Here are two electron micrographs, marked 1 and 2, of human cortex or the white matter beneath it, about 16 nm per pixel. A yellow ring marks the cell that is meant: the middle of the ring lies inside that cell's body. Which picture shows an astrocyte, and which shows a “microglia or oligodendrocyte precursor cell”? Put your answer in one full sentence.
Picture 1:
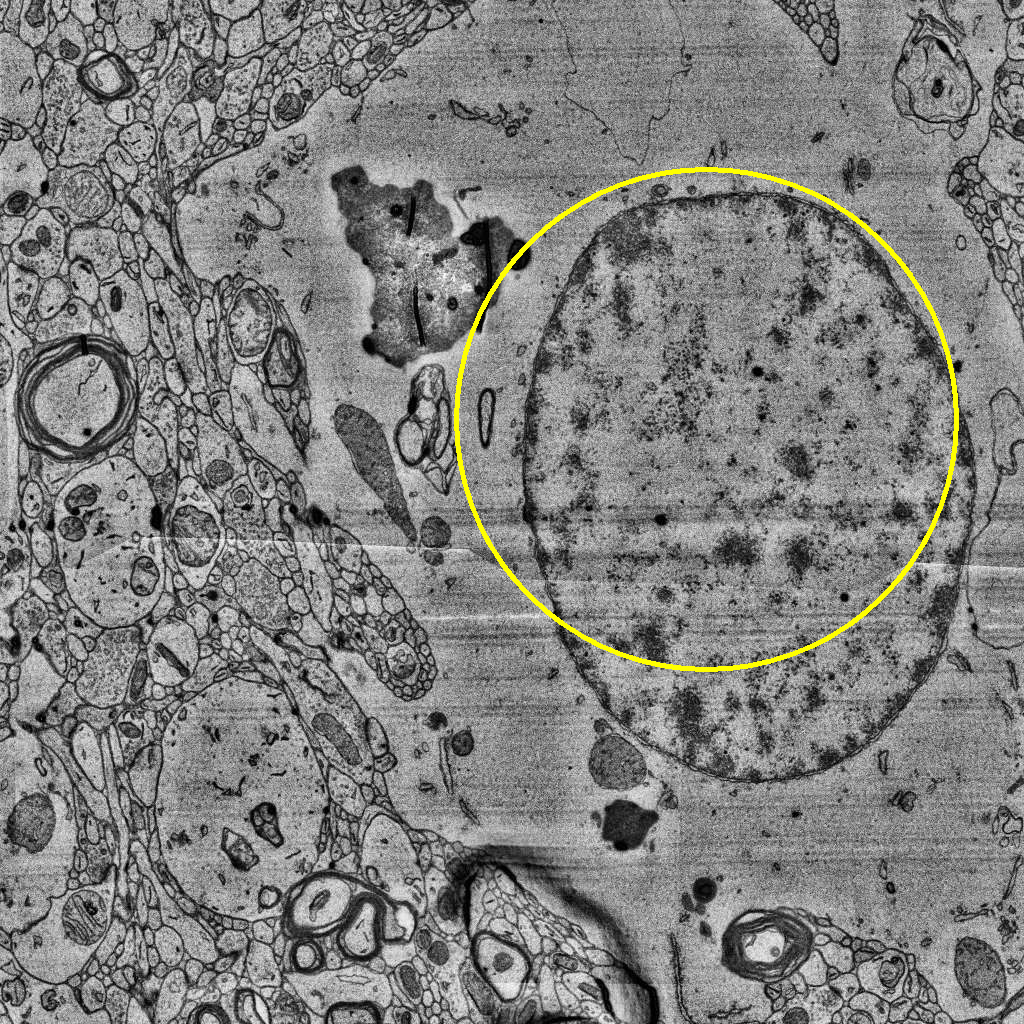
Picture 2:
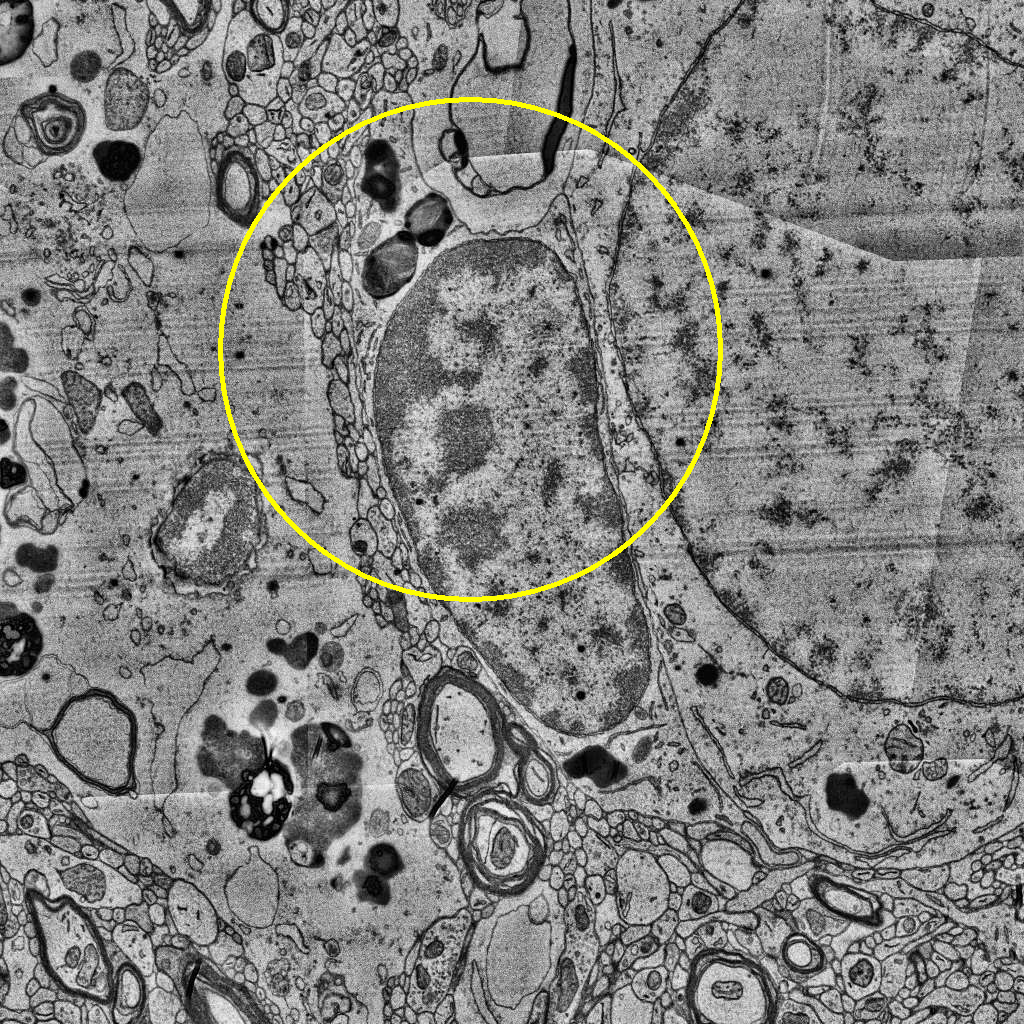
Picture 2 shows a “microglia or oligodendrocyte precursor cell”, while picture 1 shows an astrocyte.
